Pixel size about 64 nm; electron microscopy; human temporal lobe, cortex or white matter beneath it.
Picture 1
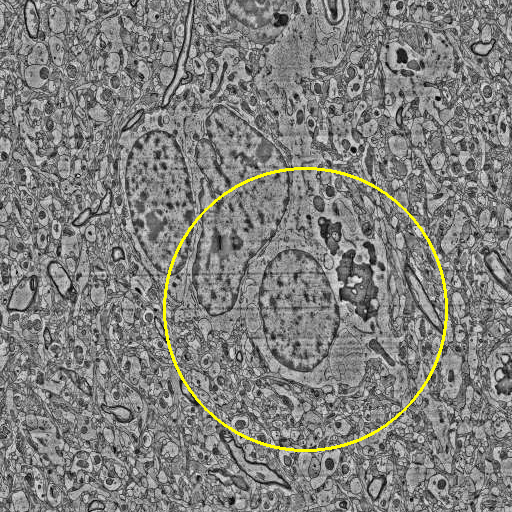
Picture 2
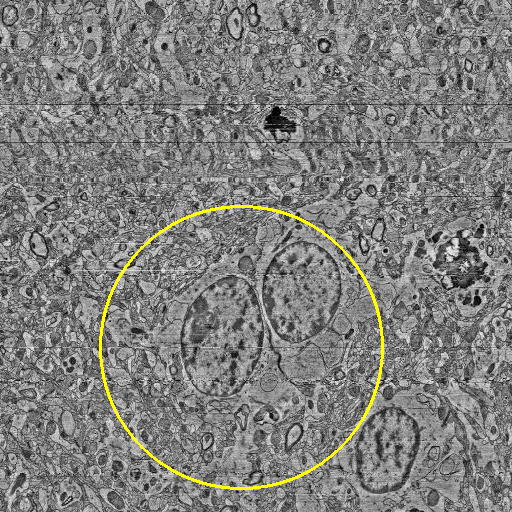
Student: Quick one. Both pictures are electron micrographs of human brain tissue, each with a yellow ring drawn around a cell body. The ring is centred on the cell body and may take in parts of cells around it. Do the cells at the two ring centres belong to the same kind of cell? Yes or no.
yes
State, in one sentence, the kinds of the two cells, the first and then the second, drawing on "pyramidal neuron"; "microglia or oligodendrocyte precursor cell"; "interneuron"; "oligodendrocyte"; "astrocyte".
The first and the second cell are each an astrocyte.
